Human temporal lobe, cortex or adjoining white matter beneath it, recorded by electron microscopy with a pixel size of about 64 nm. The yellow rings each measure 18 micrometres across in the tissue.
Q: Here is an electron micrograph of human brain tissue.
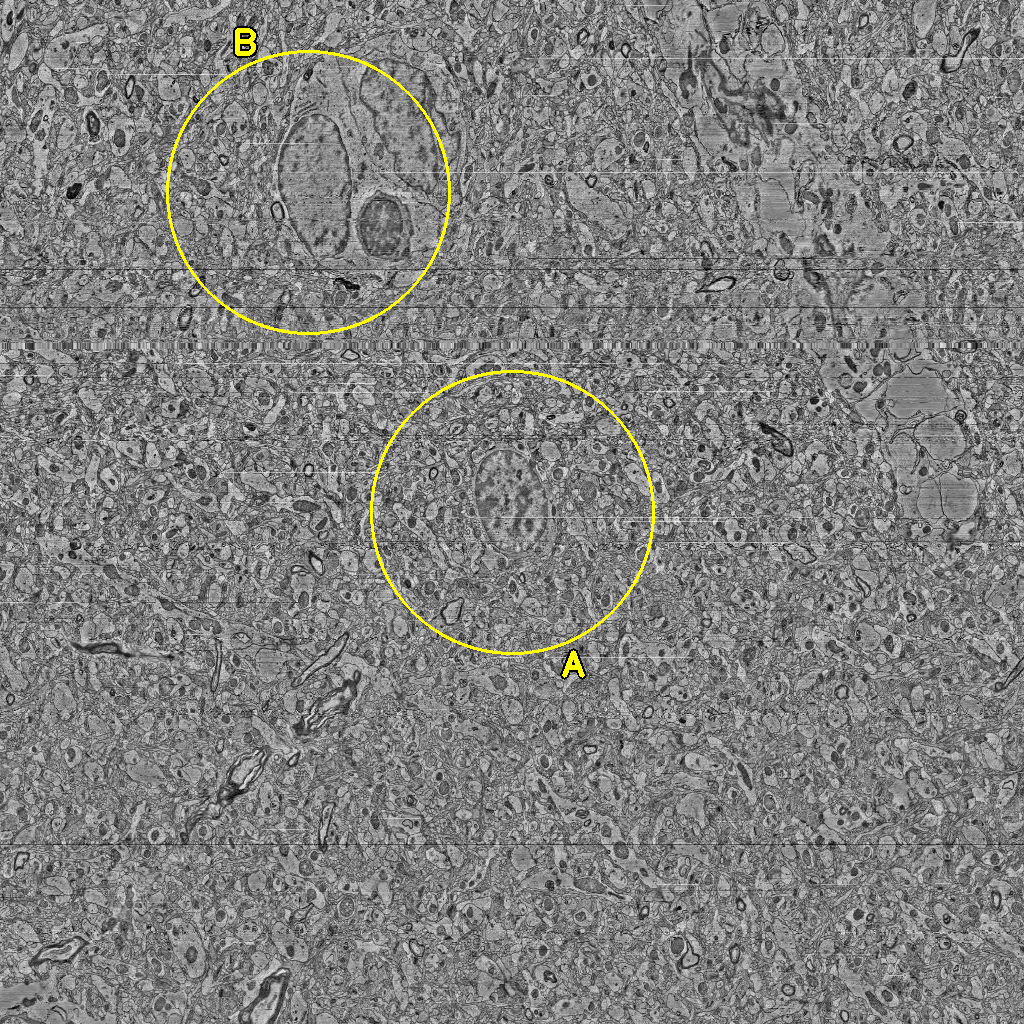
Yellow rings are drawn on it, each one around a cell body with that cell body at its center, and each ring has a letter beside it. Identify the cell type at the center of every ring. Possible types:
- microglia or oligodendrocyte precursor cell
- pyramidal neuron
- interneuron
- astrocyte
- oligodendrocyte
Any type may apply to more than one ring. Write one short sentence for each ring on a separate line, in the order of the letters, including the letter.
Centered in ring A is an oligodendrocyte.
Centered in ring B is a microglial cell or oligodendrocyte precursor cell.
